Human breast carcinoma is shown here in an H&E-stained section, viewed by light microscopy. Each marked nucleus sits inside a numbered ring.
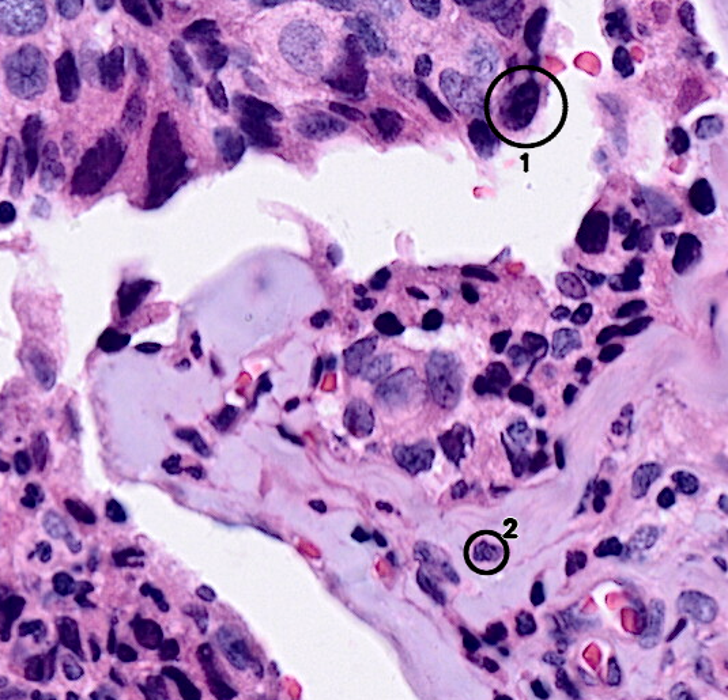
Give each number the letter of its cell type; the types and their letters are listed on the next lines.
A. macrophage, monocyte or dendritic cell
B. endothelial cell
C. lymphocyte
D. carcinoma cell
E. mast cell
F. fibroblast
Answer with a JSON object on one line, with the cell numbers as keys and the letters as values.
{"1": "D", "2": "E"}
